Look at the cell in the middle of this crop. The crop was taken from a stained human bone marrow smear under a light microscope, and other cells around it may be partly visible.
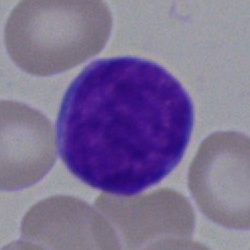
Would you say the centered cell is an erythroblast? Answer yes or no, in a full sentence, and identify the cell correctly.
No, the central cell here is a blast; calling it an erythroblast is not right.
